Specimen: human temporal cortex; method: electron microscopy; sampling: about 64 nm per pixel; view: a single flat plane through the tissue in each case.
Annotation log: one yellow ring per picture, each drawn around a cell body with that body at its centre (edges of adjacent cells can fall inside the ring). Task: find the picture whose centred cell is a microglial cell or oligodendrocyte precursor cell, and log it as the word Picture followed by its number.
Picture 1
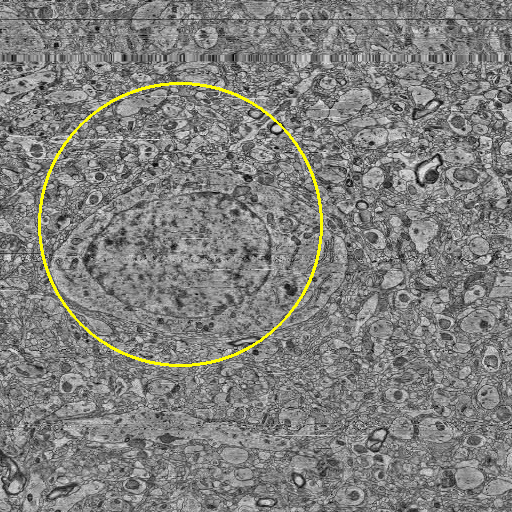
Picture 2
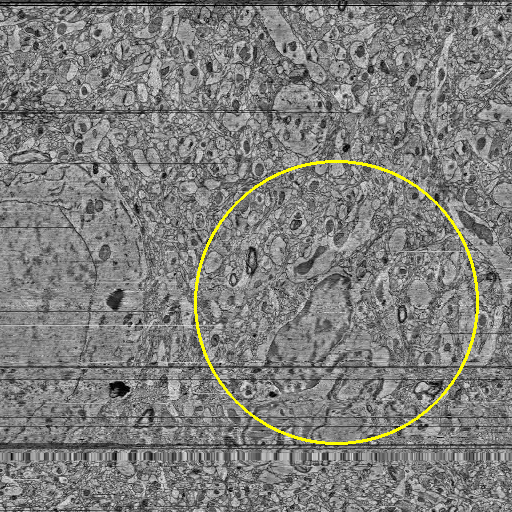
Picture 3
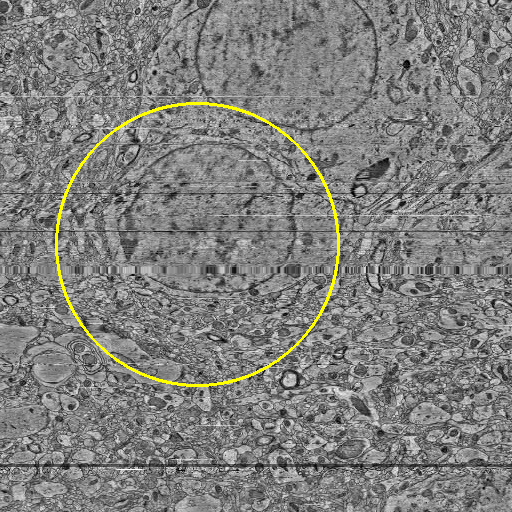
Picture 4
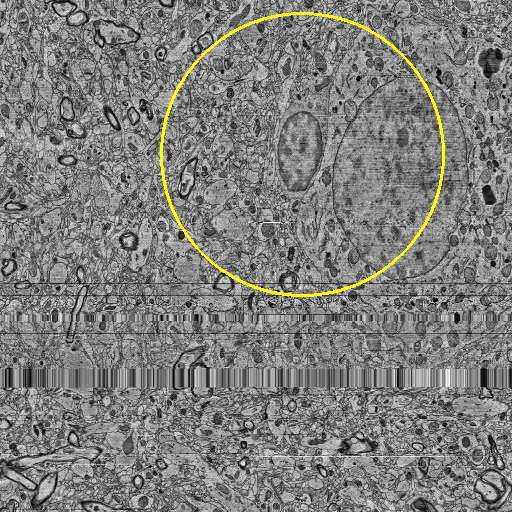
Picture 2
